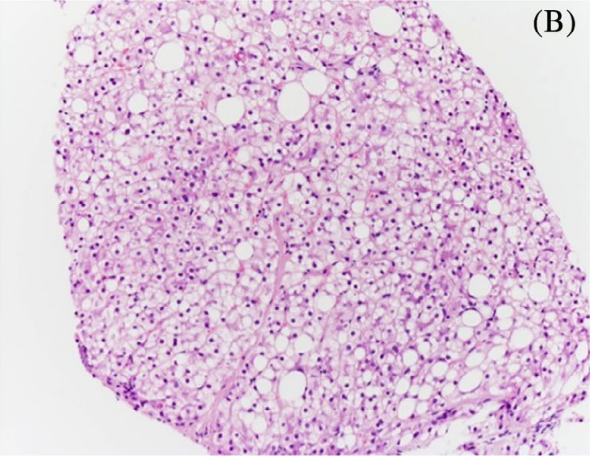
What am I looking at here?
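This core of liver parenchyma shows extensive steatosis of the hepatocytes. Many cells hold a single large clear vacuole that pushes the nucleus aside. Others have pale, foamy cytoplasm filled with many small vacuoles. The normal plate pattern is hard to make out because swollen, pale cells fill the whole field.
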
